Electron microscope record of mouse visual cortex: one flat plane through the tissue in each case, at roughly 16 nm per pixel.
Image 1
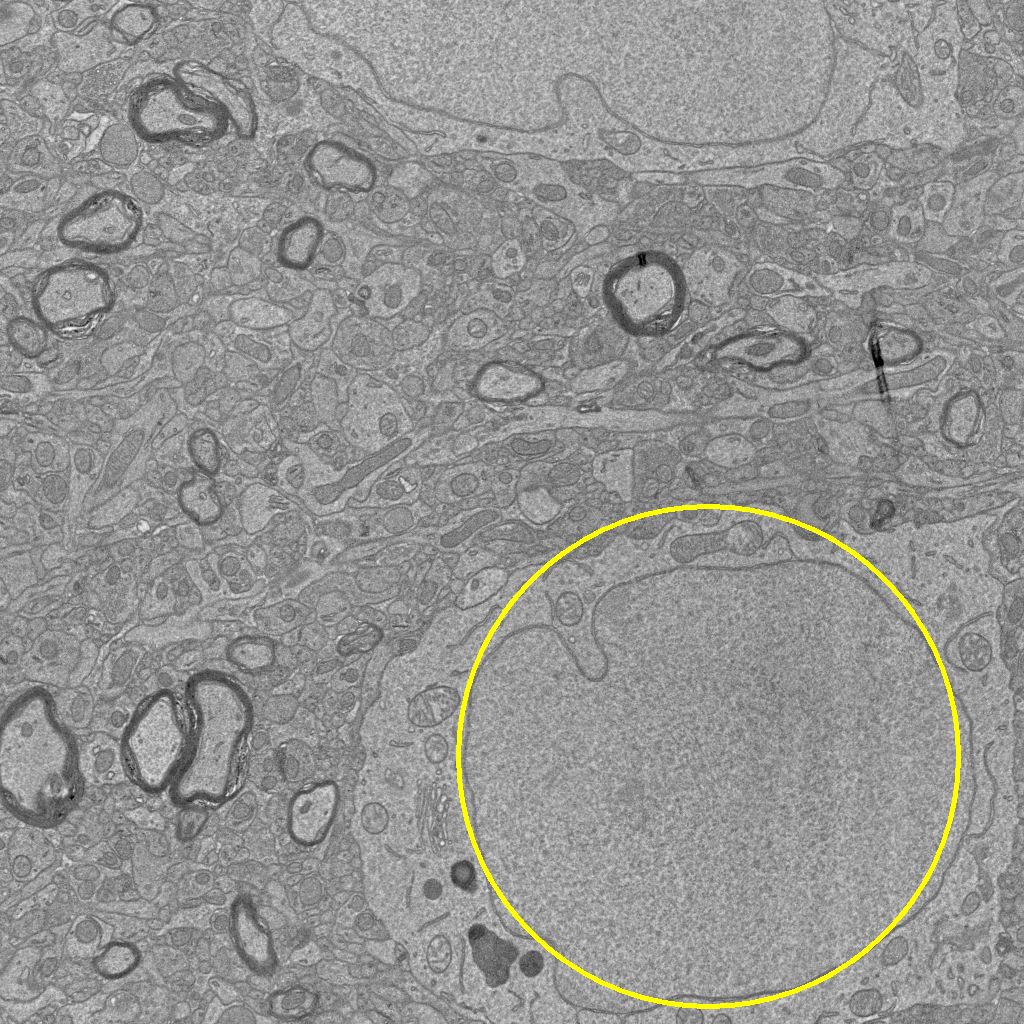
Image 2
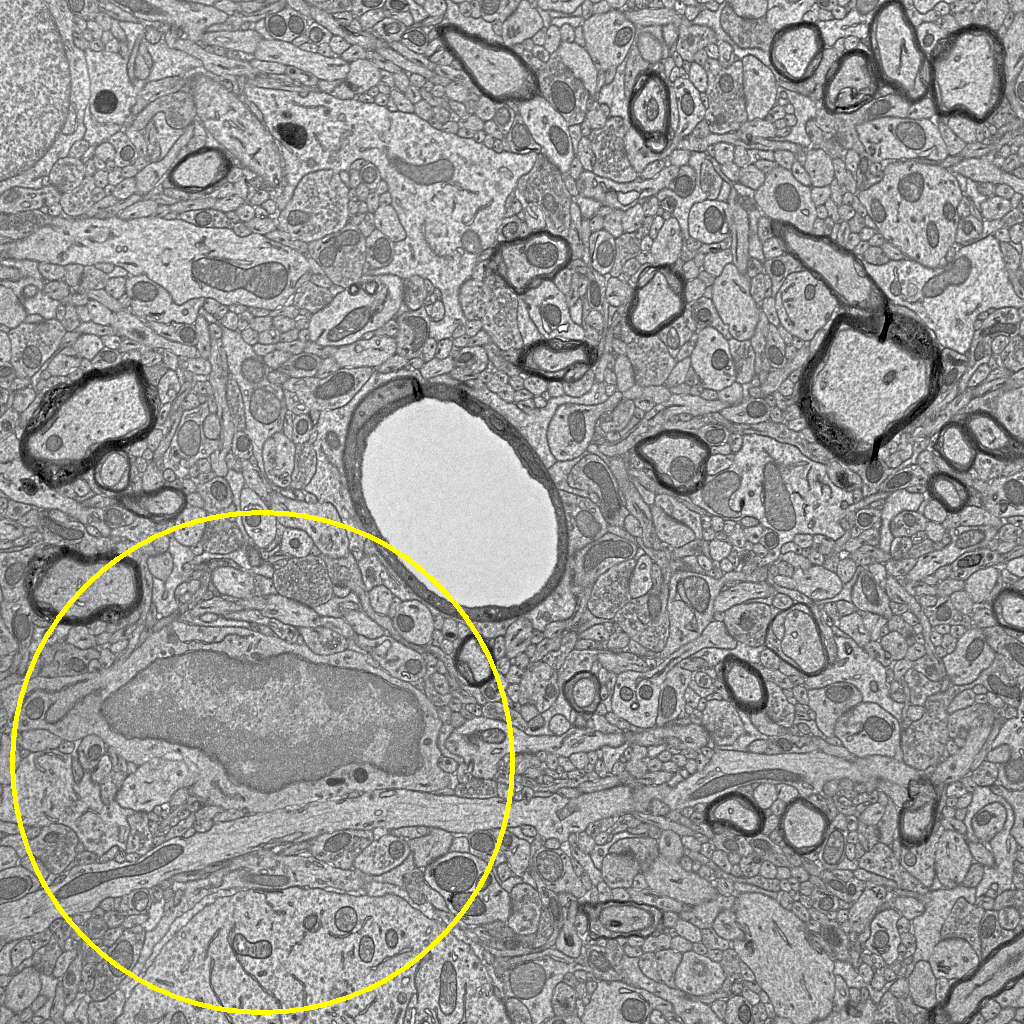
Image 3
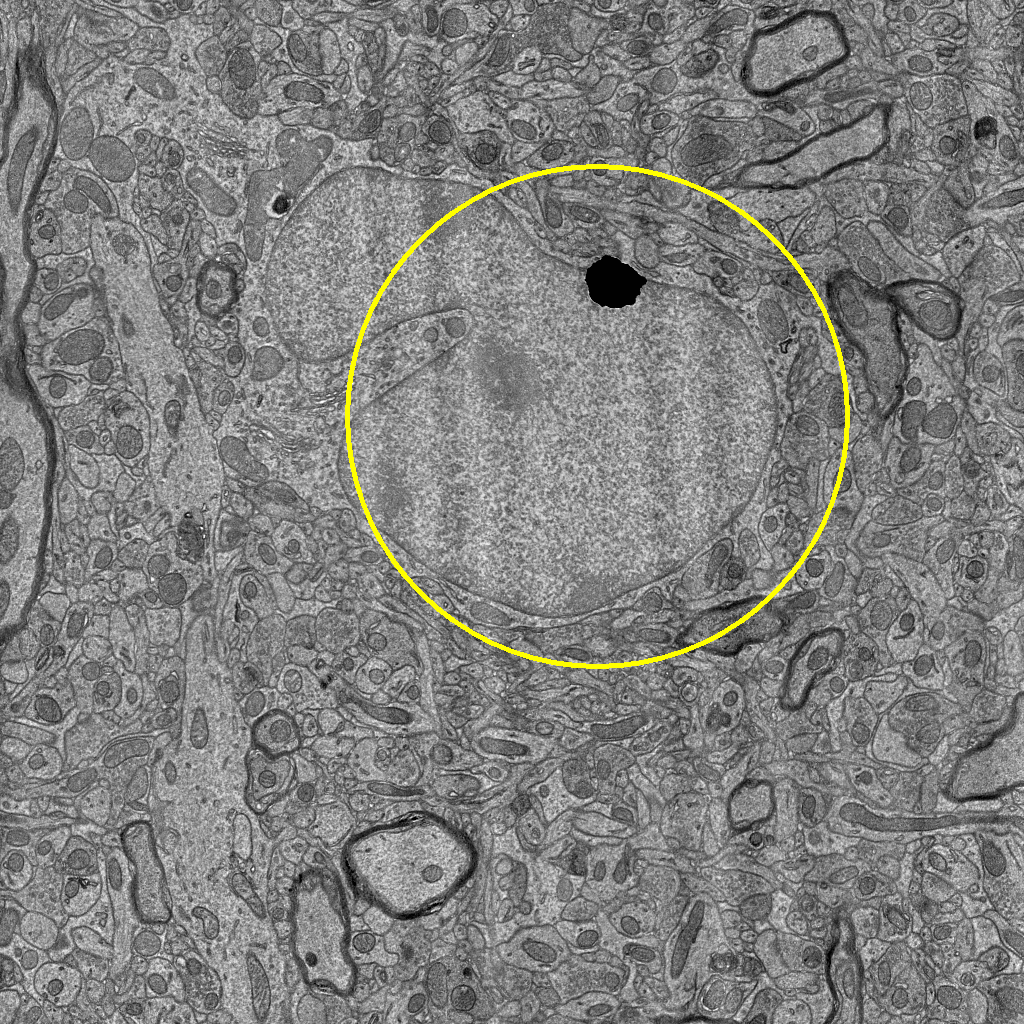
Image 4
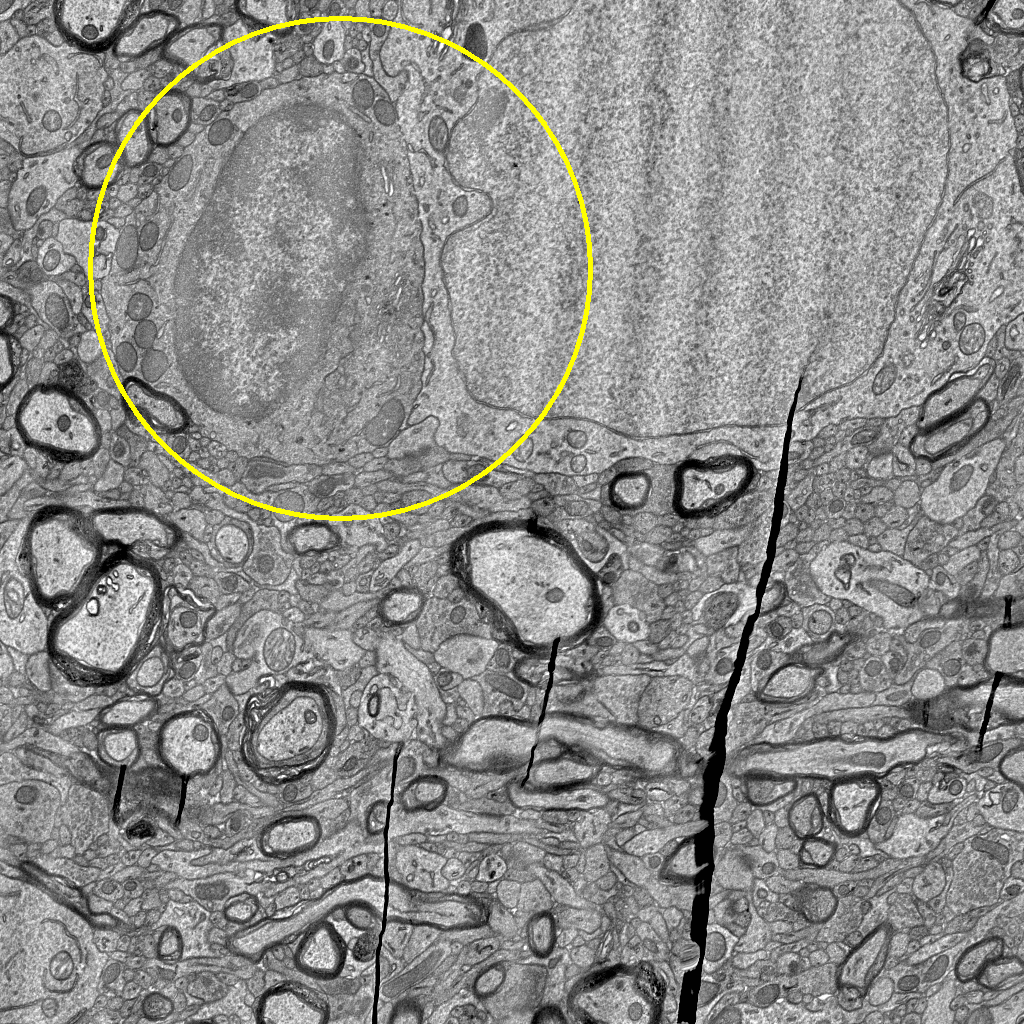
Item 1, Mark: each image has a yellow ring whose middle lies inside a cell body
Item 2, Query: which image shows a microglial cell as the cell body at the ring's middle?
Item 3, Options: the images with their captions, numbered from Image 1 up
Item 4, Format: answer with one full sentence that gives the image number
My answer is image 2, where the cell lying under the ring's middle fits.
